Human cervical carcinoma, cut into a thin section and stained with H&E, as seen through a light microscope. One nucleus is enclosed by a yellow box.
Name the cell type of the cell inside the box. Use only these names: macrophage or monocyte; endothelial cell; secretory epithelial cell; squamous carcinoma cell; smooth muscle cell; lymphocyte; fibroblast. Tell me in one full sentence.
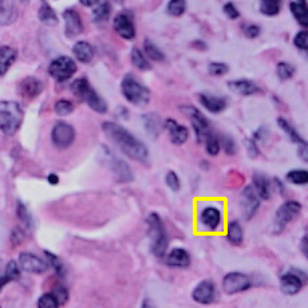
In this section, the cell inside the box is a lymphocyte.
